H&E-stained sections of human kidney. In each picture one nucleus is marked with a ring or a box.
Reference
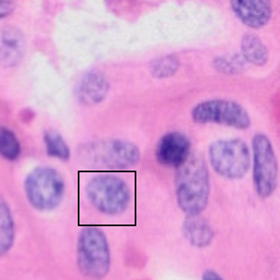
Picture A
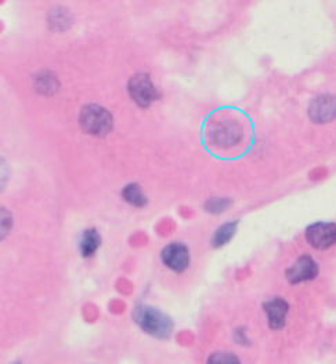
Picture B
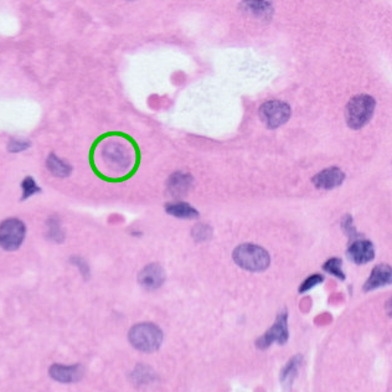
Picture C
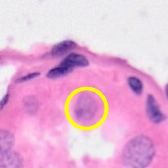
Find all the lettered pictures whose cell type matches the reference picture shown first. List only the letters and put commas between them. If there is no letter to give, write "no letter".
no letter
